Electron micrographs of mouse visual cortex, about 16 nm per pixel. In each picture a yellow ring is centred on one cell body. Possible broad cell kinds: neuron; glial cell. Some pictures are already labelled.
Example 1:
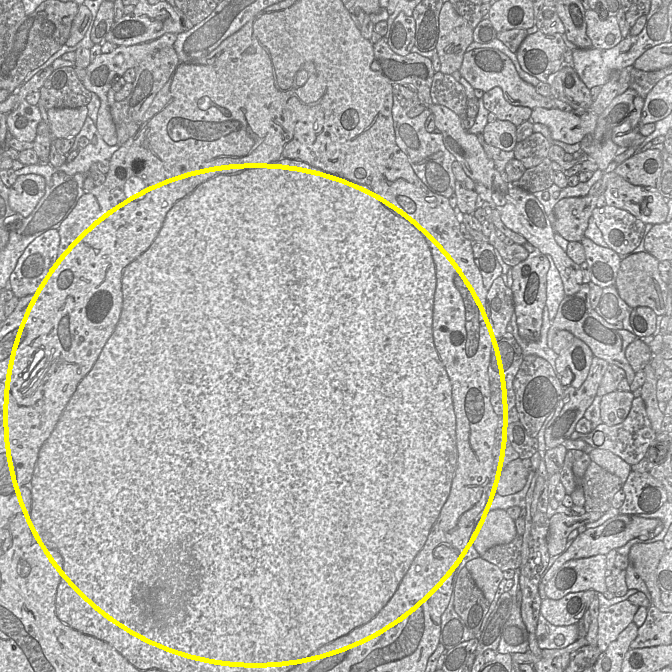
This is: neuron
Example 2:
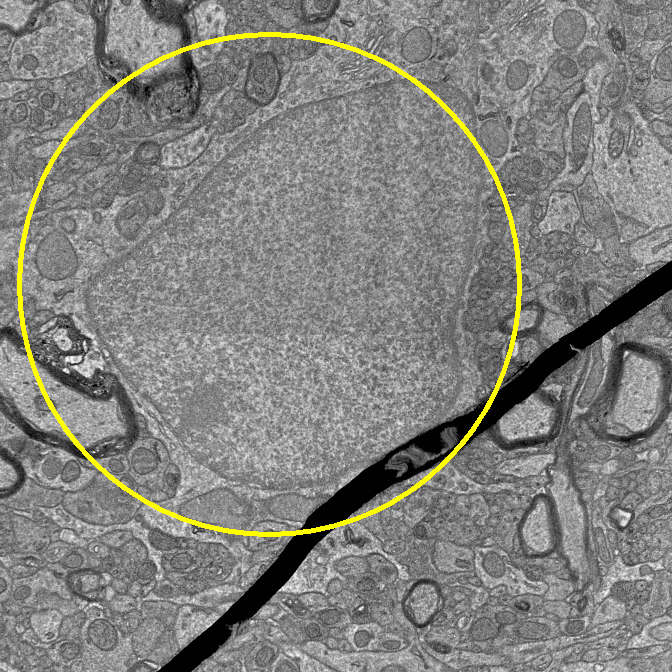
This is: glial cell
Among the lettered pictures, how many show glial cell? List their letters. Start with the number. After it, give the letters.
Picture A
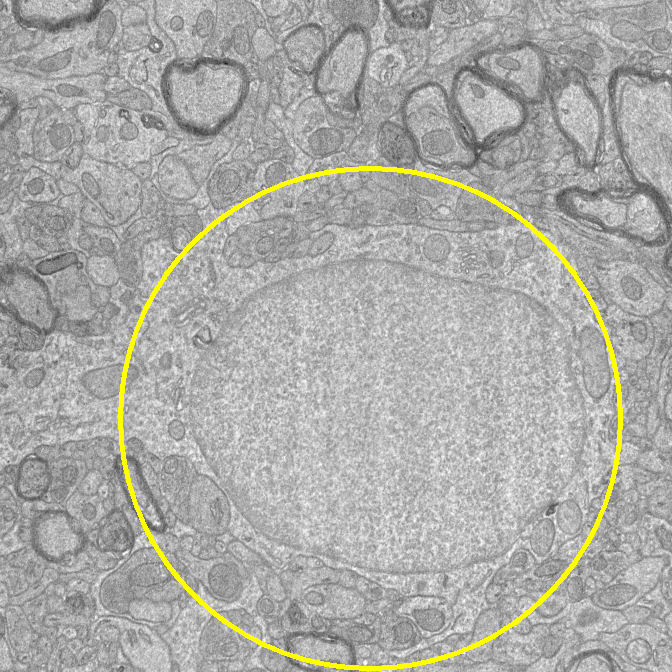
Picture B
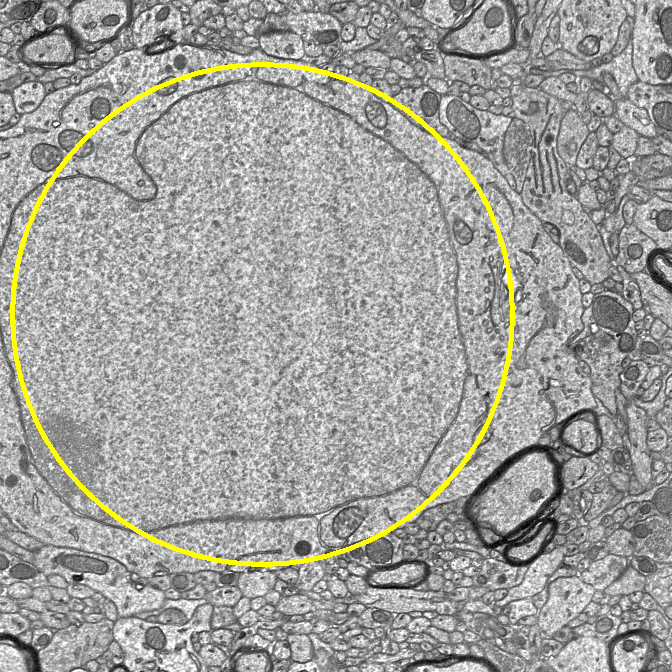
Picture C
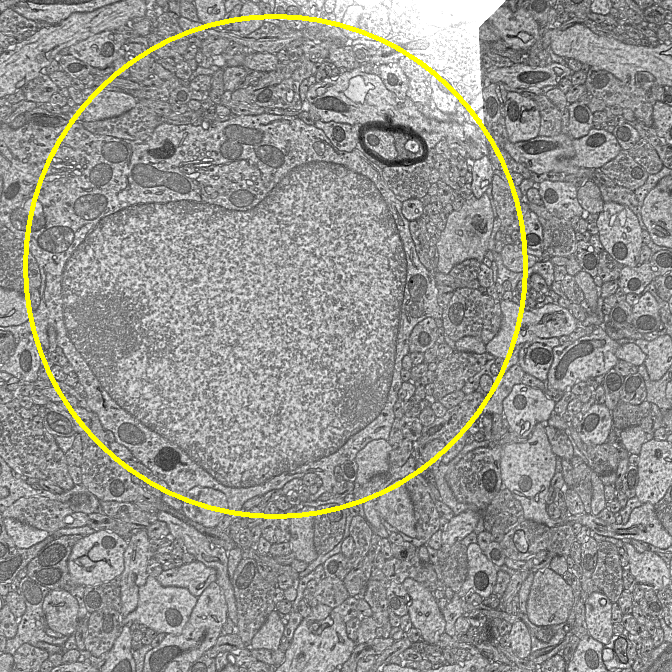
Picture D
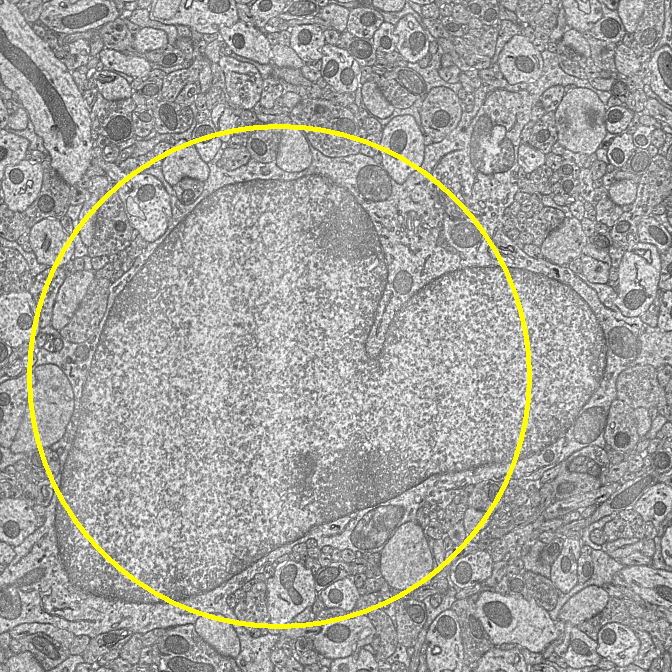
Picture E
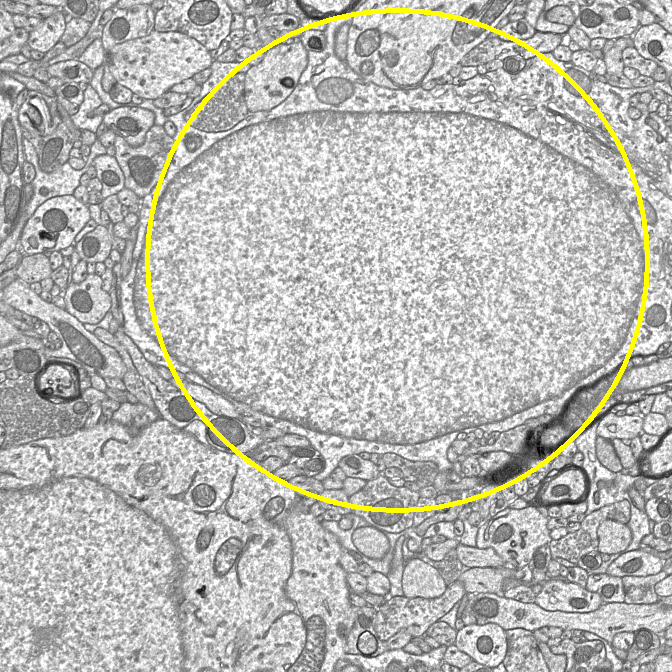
4: A, C, D, E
